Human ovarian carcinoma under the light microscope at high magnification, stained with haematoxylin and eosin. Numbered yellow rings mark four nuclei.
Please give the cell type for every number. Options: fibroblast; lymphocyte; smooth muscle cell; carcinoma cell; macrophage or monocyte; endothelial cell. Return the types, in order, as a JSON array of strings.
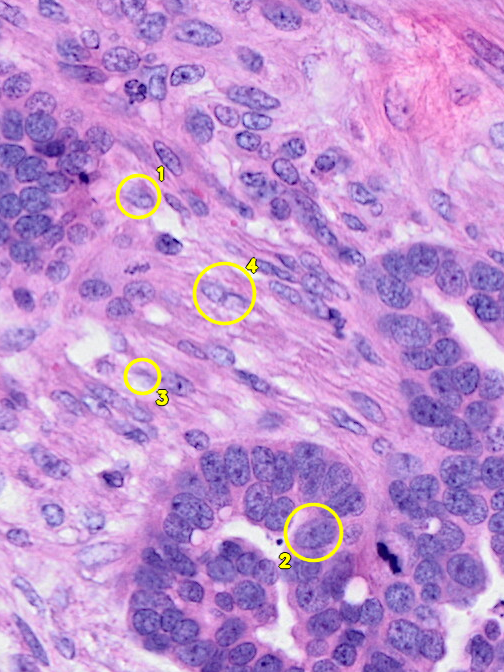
["fibroblast", "carcinoma cell", "fibroblast", "fibroblast"]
